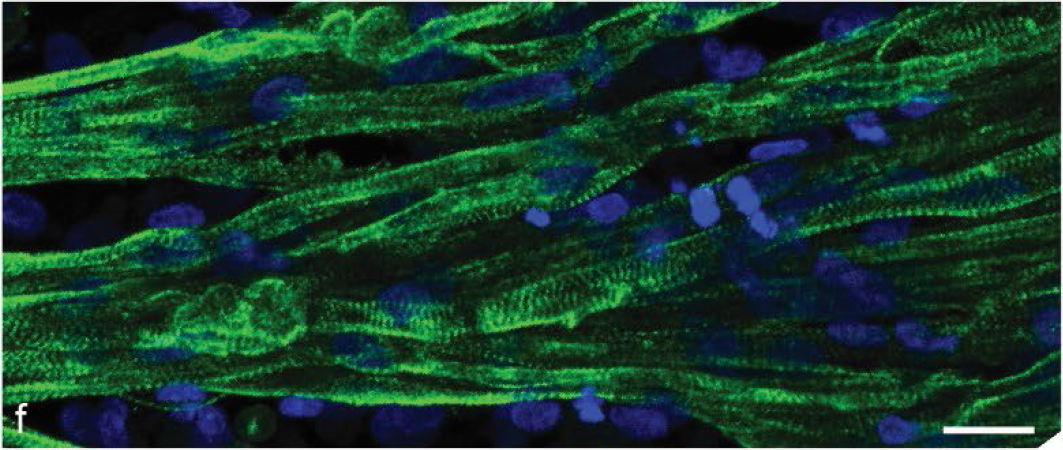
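Long, ribbon-like fibres run side by side from left to right across the whole field, glowing green. Along many of them you can make out fine, regular cross-banding, the striated pattern of organised contractile units. Some fibres bend or coil locally rather than running perfectly straight, and the fibres differ in width, some thin and some broad.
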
